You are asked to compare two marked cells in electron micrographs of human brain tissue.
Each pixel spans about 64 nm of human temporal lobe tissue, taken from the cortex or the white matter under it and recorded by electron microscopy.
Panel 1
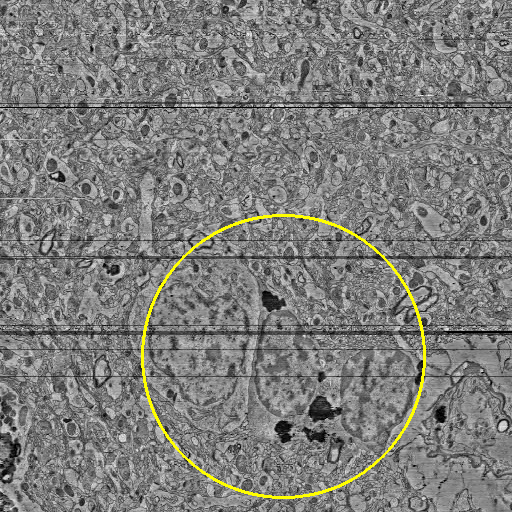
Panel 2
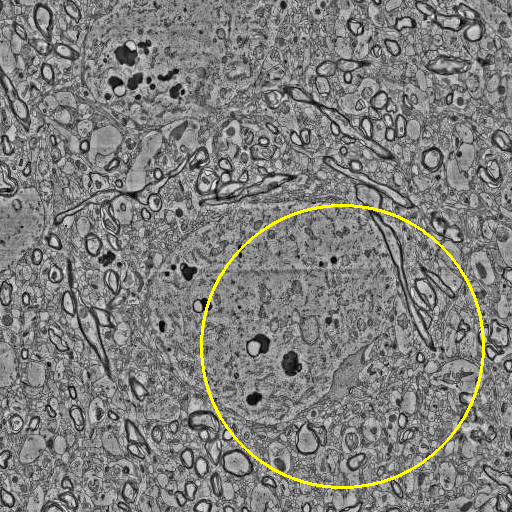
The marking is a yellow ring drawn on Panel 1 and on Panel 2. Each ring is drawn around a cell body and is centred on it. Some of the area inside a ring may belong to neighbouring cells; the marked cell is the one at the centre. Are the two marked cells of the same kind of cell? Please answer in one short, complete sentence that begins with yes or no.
Yes, the two marked cells are of the same kind.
